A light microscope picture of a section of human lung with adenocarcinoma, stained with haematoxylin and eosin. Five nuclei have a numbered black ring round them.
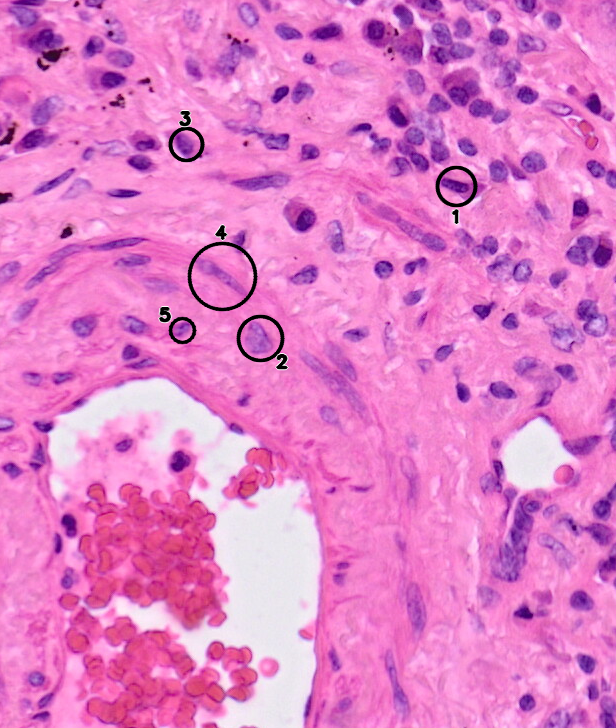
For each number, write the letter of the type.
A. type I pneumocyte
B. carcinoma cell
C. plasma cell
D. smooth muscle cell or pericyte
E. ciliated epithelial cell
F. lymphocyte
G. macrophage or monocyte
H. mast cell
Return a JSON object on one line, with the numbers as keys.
{"1": "C", "2": "D", "3": "C", "4": "D", "5": "D"}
